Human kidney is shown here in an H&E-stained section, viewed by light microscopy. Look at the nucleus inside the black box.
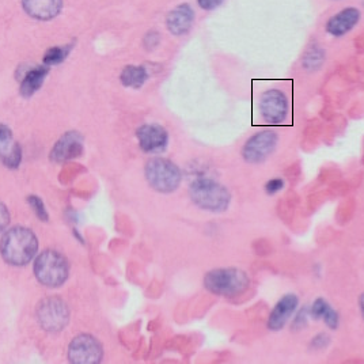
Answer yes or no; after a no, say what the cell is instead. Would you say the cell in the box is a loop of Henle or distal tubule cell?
Yes.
